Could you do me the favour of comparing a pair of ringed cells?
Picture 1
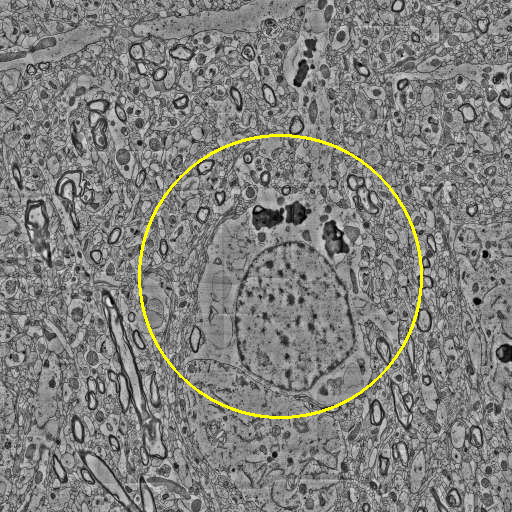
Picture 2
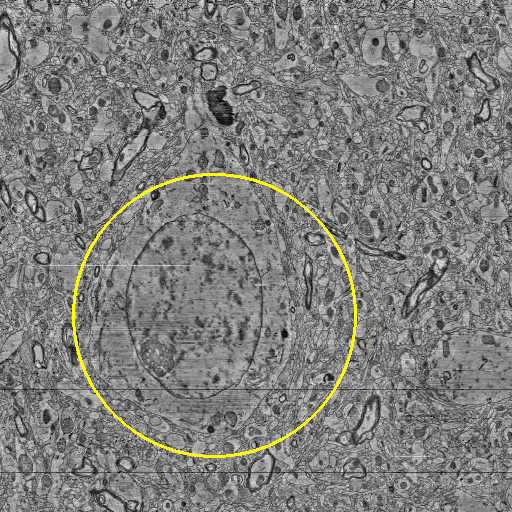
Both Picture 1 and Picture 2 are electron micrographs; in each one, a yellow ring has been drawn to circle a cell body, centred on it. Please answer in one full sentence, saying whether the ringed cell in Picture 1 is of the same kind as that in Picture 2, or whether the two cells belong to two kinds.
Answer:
The ringed cells in Picture 1 and Picture 2 belong to two kinds.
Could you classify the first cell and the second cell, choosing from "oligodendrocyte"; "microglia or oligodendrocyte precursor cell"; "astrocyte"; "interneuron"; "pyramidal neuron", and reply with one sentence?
The second cell is a pyramidal neuron, while the first is an astrocyte.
